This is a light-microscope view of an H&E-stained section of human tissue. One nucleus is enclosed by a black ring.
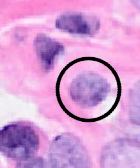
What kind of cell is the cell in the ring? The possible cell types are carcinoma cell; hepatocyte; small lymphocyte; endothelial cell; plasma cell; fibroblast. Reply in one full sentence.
The cell in the ring is a carcinoma cell.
